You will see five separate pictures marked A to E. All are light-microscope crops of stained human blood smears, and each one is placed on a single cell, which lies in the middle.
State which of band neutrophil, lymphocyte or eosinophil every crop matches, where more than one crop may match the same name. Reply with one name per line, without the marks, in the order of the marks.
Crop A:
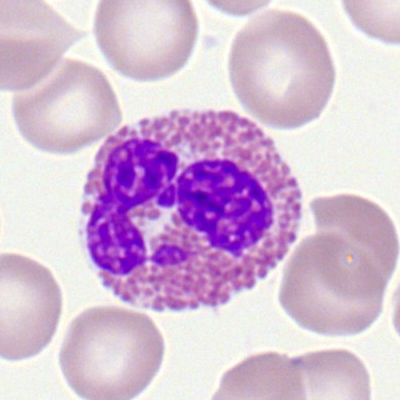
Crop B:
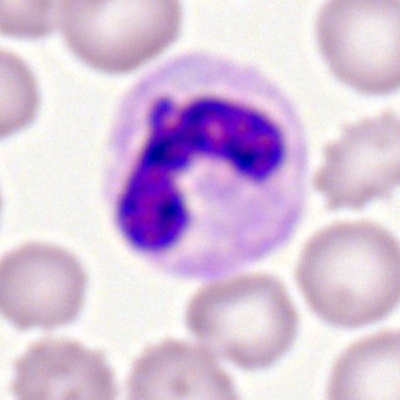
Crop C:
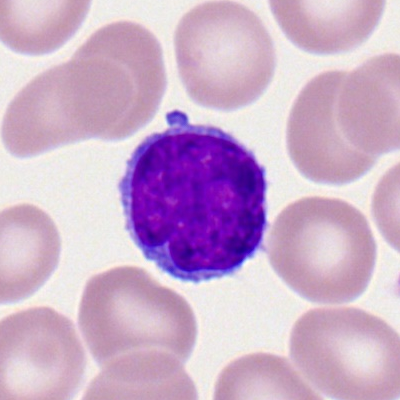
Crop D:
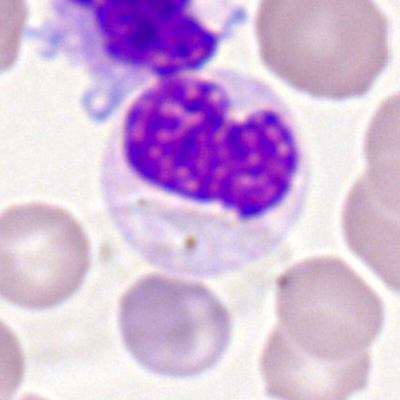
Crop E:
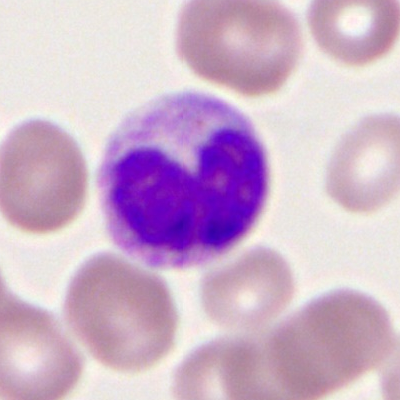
eosinophil
band neutrophil
lymphocyte
band neutrophil
band neutrophil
